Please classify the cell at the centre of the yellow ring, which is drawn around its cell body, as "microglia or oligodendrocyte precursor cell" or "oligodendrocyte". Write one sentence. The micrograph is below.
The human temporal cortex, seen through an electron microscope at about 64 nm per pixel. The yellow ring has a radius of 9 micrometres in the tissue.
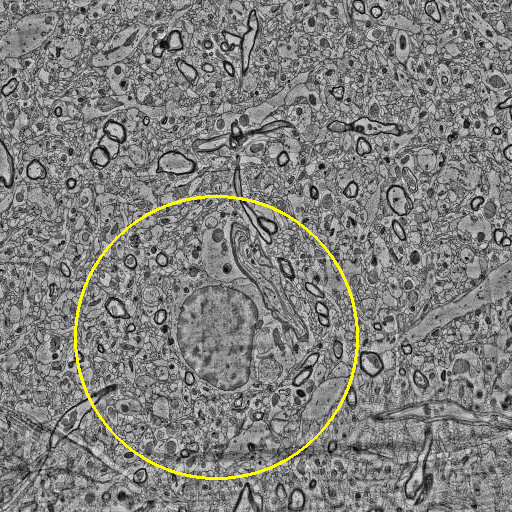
The cell at the ring's centre is classified as an oligodendrocyte.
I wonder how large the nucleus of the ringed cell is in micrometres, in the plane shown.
About 7 by 5 micrometres in this plane.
